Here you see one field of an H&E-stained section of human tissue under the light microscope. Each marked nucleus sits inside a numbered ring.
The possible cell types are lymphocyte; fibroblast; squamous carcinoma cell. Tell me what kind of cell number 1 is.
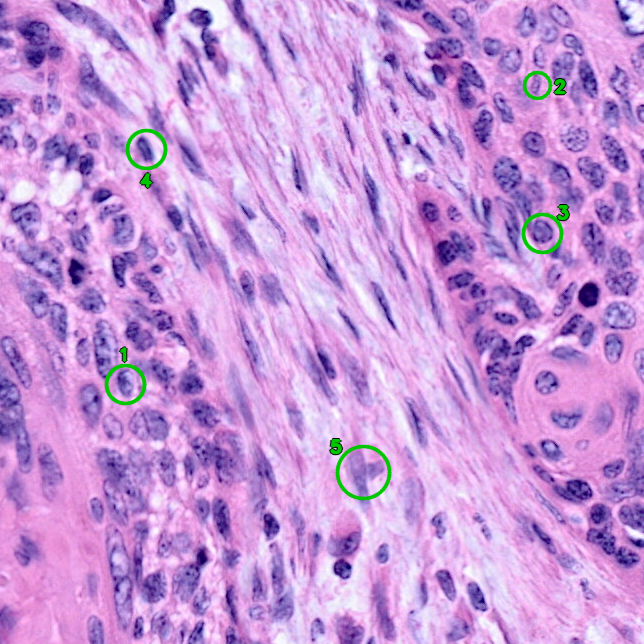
squamous carcinoma cell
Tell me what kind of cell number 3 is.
squamous carcinoma cell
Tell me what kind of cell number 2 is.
squamous carcinoma cell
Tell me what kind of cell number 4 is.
lymphocyte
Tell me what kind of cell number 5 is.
fibroblast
